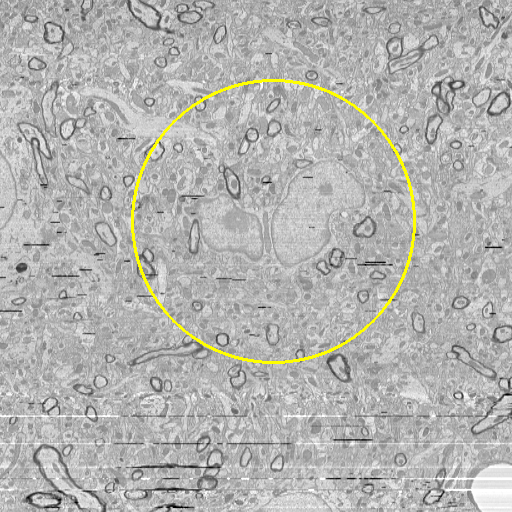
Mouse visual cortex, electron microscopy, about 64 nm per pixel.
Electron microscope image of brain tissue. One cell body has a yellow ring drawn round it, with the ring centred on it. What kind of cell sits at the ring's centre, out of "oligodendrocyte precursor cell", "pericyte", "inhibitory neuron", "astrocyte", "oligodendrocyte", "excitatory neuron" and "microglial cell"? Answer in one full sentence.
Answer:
It is an oligodendrocyte precursor cell whose cell body sits at the centre of the yellow ring.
